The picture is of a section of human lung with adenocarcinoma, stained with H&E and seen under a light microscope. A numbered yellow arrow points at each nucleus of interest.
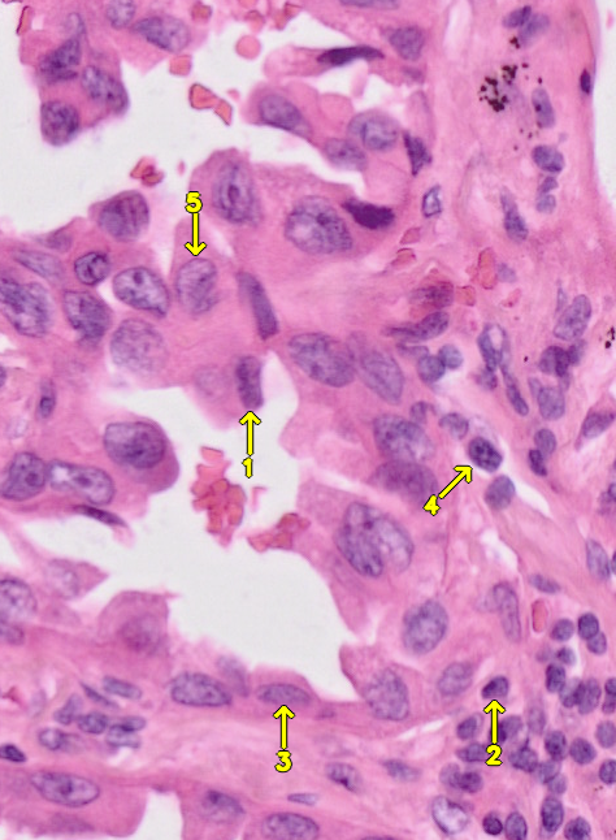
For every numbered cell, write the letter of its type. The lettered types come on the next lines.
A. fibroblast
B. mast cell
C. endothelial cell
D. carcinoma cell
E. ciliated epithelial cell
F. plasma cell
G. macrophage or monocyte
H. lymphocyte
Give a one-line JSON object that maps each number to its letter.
{"1": "D", "2": "H", "3": "D", "4": "H", "5": "D"}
